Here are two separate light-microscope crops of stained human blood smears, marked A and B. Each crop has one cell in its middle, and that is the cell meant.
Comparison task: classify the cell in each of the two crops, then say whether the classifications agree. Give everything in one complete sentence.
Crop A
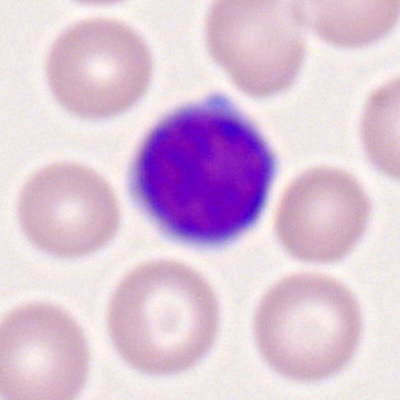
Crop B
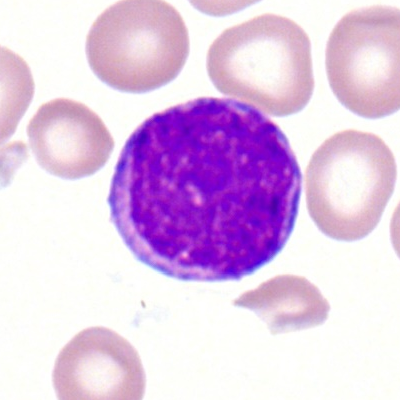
No, crop A is where a lymphocyte is shown, and crop B is where a myeloblast is shown.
